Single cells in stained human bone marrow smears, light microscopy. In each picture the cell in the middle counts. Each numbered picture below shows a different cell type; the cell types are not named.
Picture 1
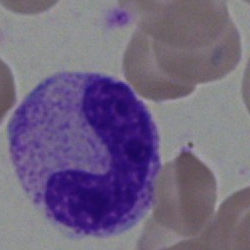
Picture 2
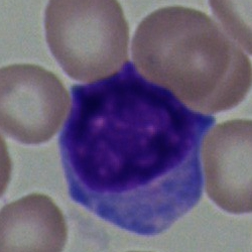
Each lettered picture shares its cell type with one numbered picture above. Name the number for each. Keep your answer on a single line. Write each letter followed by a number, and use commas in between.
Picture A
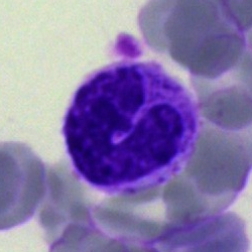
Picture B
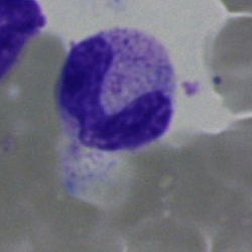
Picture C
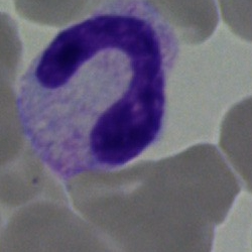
A 1, B 1, C 1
